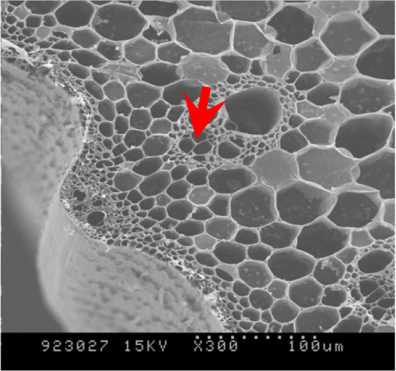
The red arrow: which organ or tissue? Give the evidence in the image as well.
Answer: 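The red arrow points to a patch of small cells within a field of larger polygonal cells.
Answer: phloem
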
